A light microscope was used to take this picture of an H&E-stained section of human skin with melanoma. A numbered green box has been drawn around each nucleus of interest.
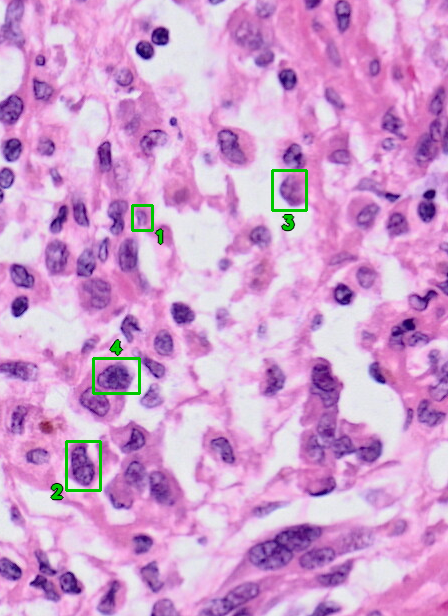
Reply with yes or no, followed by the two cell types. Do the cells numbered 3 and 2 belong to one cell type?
Yes, both cells 3 and 2 are melanoma cells.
